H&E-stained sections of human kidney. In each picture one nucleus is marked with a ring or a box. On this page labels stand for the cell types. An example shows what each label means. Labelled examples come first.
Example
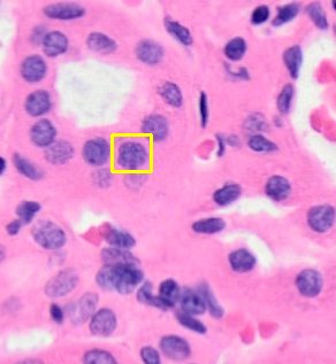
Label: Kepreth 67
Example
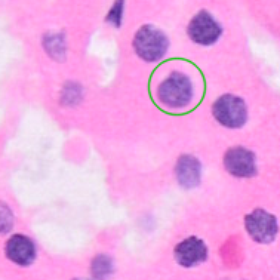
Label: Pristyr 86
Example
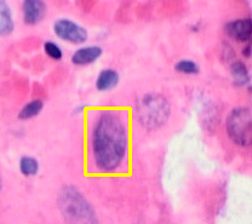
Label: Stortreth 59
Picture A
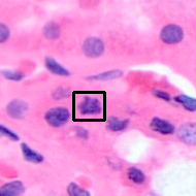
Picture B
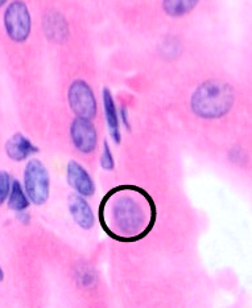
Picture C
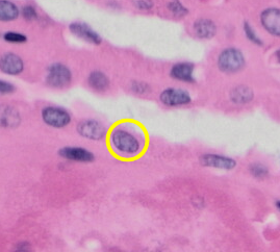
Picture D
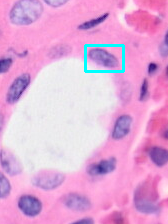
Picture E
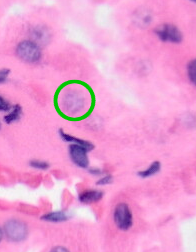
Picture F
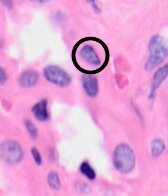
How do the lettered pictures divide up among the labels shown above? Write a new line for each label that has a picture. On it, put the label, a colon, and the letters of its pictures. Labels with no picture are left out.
Kepreth 67: F
Pristyr 86: A, C, D
Stortreth 59: B, E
